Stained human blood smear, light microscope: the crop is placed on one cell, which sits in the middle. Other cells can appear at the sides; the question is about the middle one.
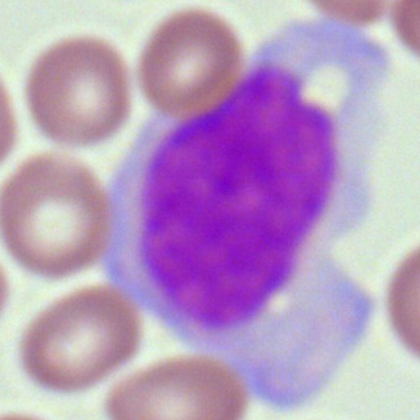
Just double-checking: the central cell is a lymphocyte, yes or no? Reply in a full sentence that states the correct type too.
No, the cell in the middle should be called a monocyte instead of a lymphocyte.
